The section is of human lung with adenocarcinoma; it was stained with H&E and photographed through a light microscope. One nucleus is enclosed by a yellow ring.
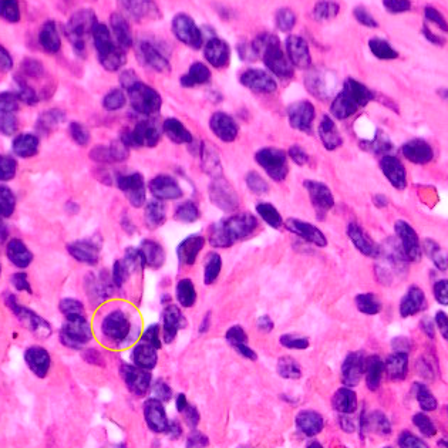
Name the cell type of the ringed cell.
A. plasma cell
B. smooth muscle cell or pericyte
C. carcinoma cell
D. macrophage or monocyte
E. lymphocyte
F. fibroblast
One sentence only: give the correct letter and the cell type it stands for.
Of all the options, E is right, since the ringed cell is a lymphocyte.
